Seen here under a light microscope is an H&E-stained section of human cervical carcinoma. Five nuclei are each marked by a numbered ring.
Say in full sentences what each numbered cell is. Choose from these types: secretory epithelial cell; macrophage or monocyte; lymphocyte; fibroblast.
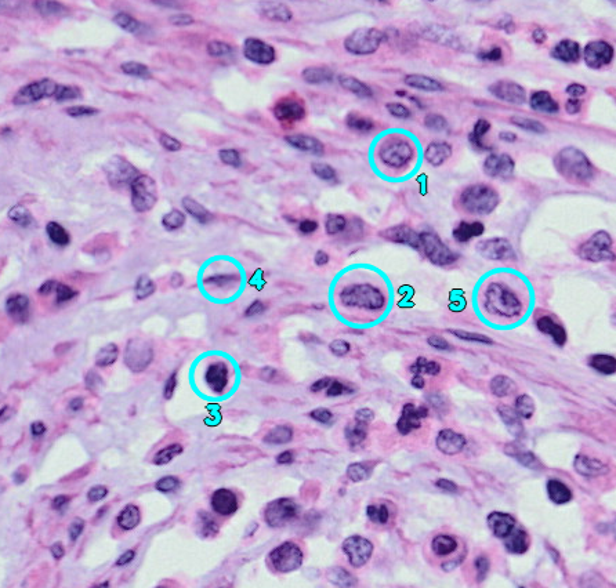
Cells 1, 2 and 5 are macrophages or monocytes. Cell 3 is a lymphocyte. Cell 4 is a fibroblast.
